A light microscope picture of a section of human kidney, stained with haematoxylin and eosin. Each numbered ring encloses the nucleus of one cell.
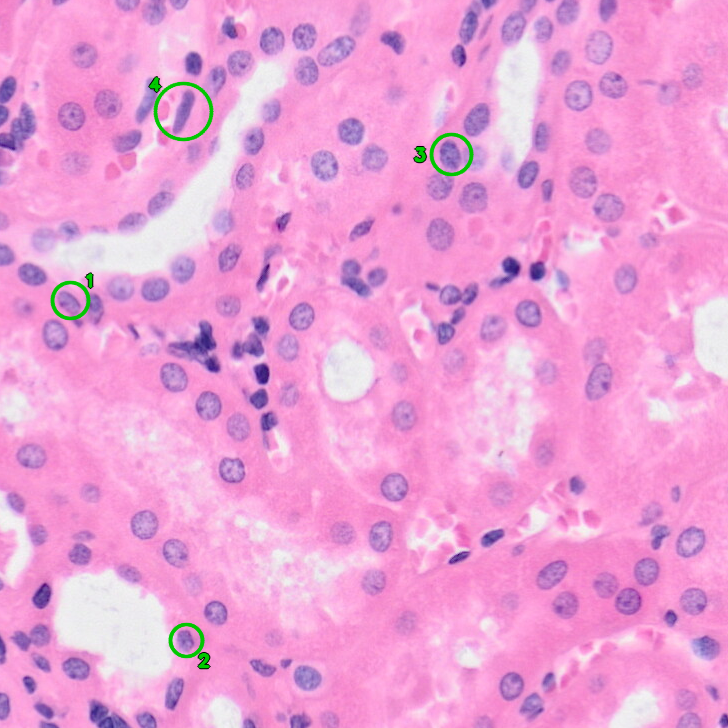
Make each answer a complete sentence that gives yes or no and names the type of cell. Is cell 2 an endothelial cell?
No, calling cell 2 an endothelial cell is a mistake; it is a loop of Henle or distal tubule cell.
